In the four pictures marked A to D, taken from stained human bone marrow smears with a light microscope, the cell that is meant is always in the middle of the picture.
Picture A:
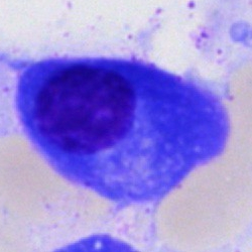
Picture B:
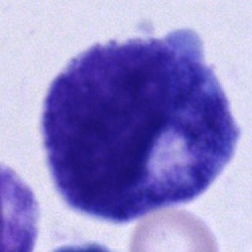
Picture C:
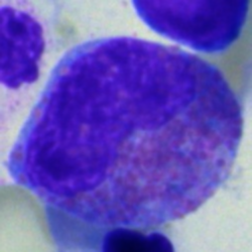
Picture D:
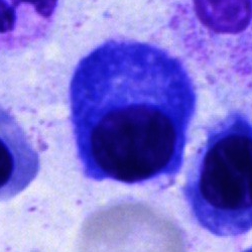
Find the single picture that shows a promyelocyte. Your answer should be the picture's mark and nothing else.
B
